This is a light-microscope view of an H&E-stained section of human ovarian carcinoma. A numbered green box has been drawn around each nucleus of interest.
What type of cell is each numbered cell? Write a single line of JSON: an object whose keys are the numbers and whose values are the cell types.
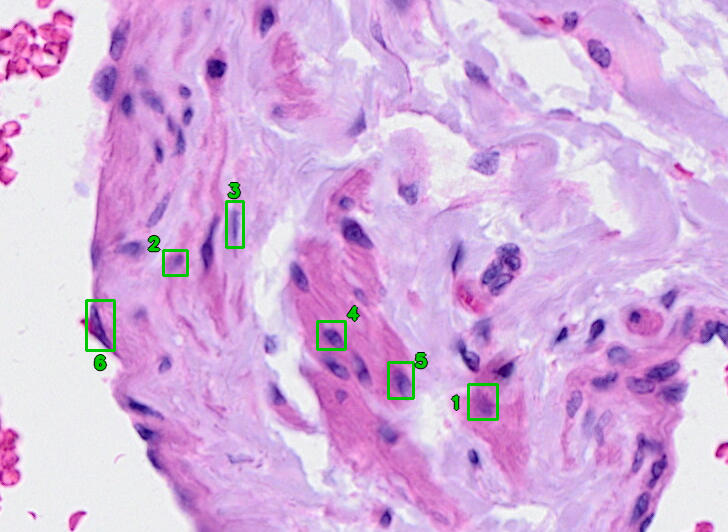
{"1": "smooth muscle cell", "2": "smooth muscle cell", "3": "fibroblast", "4": "smooth muscle cell", "5": "smooth muscle cell", "6": "endothelial cell"}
